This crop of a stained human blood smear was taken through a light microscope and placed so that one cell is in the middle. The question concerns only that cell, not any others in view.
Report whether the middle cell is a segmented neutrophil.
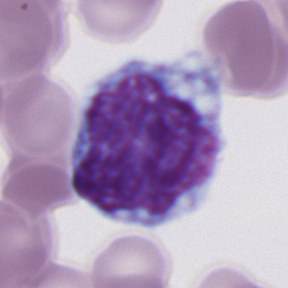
no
